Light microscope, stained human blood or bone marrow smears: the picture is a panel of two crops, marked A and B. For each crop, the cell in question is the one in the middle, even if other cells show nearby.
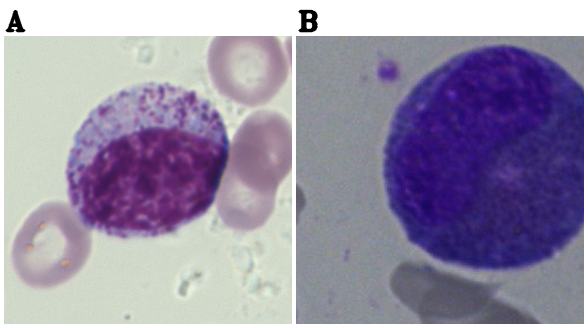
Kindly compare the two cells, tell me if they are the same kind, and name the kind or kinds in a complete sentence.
No, shown in crop A is a myelocyte, and shown in crop B is an eosinophil.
